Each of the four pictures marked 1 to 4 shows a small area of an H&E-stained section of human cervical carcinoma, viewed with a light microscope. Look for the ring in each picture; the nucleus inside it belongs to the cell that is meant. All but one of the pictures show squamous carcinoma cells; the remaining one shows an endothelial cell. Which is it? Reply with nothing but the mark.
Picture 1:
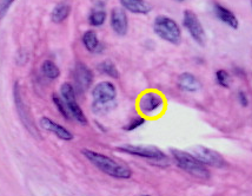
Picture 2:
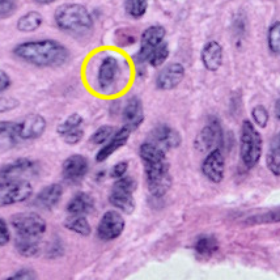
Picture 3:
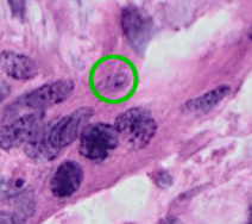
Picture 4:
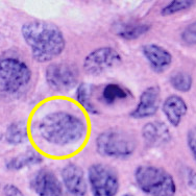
1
